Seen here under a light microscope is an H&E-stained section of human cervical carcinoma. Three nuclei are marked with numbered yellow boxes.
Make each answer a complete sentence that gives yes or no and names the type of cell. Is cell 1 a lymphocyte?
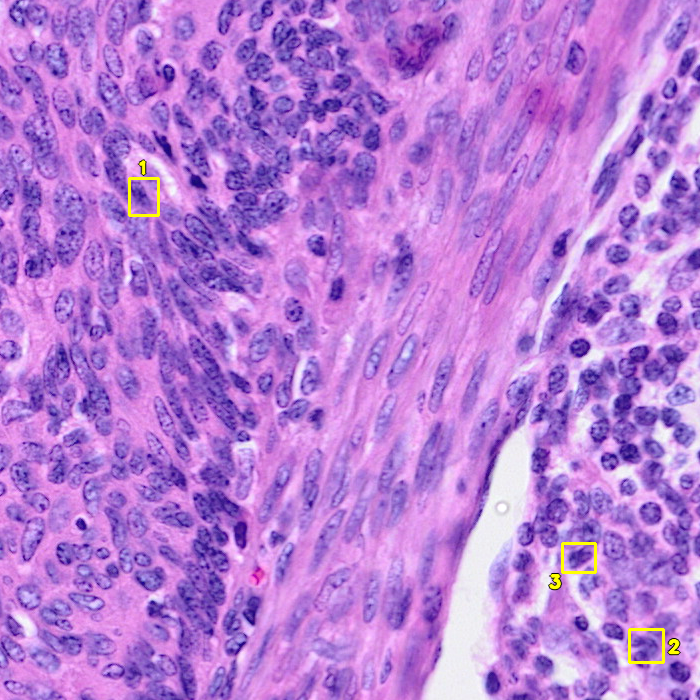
No, what is marked as number 1 is a squamous carcinoma cell rather than a lymphocyte.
